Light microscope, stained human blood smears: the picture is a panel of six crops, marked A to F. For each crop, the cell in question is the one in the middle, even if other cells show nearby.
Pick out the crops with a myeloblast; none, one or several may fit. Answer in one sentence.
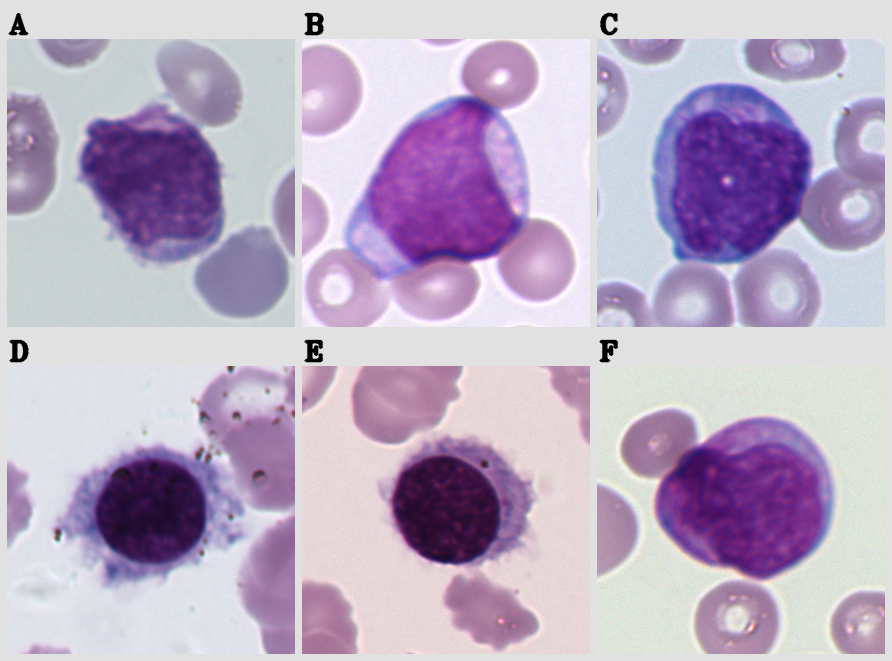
Each of the crops, without exception, lacks a myeloblast.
